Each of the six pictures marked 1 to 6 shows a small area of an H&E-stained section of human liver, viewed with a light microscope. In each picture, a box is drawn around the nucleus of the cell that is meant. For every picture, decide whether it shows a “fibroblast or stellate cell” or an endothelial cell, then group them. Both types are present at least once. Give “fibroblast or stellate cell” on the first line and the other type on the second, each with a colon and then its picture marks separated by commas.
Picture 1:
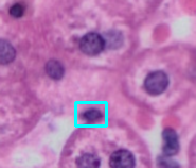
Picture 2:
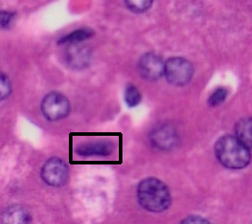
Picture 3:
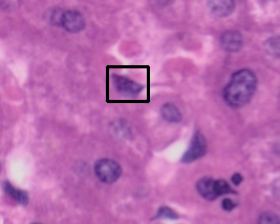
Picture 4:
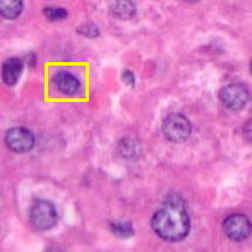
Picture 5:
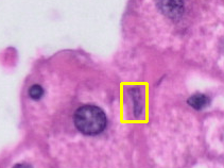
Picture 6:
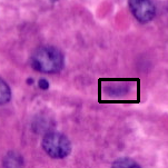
fibroblast or stellate cell: 1, 2, 4, 5
endothelial cell: 3, 6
